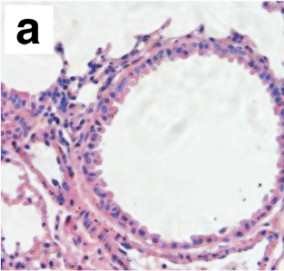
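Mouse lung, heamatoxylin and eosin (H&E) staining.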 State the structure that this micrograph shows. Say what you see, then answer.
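A round airway lumen lined by a single layer of cuboidal to columnar epithelial cells. A thin layer of pink smooth muscle and connective tissue surrounds the lining. Thin-walled alveoli surround the airway.
Hence: bronchial tubes.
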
